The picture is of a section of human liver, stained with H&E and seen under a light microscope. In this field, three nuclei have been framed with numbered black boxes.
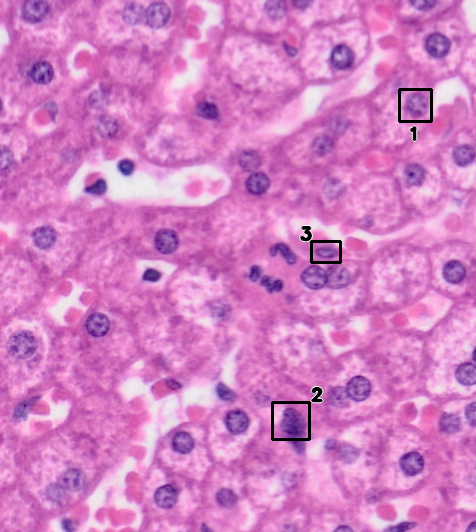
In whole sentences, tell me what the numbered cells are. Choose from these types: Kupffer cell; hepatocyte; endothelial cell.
Cell 1 is a hepatocyte, cell 2 is an endothelial cell and cell 3 is a Kupffer cell.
